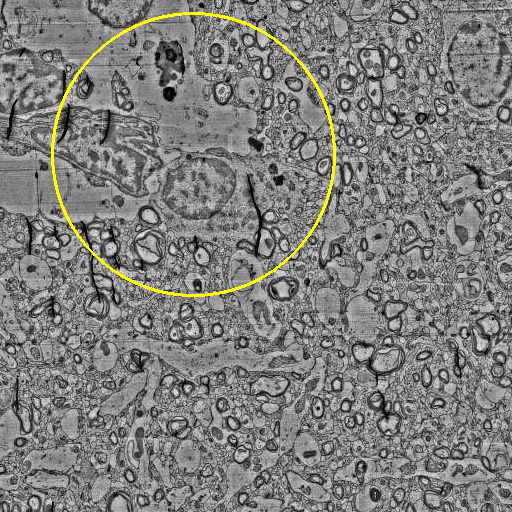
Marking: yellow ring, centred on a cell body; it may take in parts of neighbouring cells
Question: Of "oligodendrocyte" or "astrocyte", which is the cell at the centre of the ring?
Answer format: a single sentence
The ring surrounds the body of an oligodendrocyte.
